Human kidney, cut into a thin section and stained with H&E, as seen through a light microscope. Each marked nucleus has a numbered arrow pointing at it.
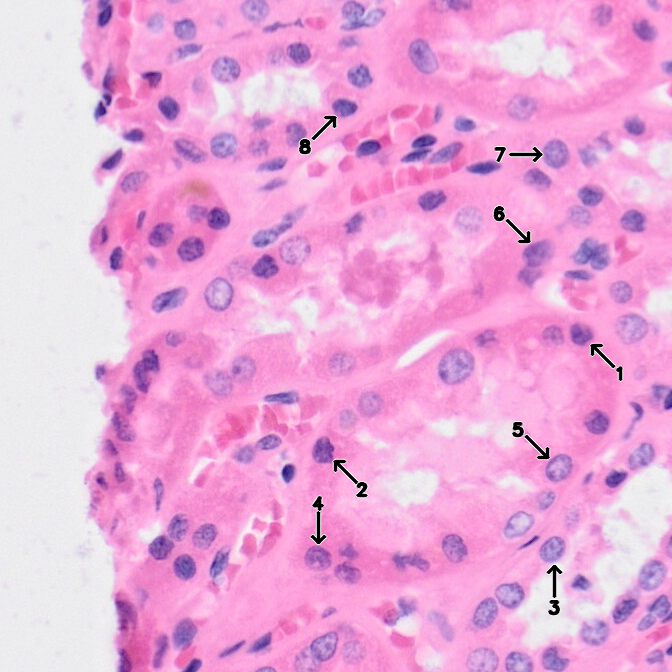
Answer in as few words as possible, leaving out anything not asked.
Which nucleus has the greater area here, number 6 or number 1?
6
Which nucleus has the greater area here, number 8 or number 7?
7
